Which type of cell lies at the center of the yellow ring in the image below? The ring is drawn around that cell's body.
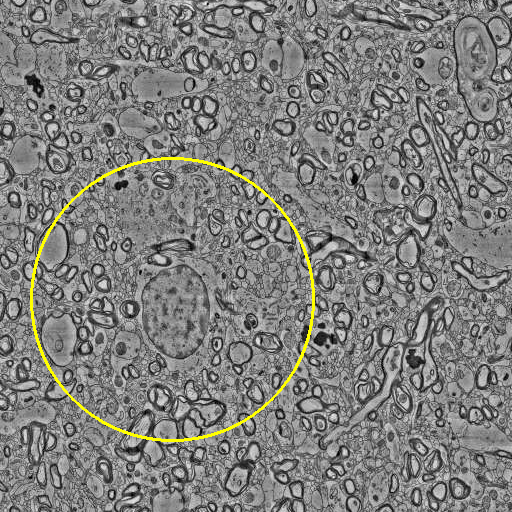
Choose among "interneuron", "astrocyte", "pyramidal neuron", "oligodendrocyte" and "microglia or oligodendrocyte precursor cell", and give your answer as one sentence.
The cell body at the center belongs to a microglial cell or oligodendrocyte precursor cell.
